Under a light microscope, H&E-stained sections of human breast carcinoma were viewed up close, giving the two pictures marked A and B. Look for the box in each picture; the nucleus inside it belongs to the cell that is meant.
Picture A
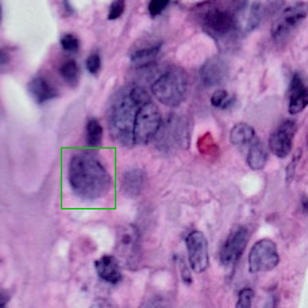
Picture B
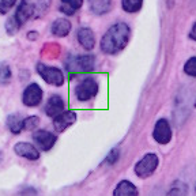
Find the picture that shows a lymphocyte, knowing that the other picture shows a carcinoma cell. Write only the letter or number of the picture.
B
